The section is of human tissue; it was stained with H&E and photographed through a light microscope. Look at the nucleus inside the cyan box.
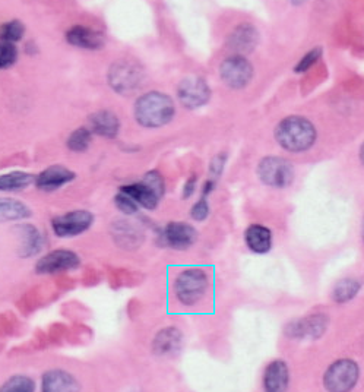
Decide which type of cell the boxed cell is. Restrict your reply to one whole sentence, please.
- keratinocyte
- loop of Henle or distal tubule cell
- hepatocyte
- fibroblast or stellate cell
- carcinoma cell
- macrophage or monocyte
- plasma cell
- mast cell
It is a loop of Henle or distal tubule cell that the boxed cell represents.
